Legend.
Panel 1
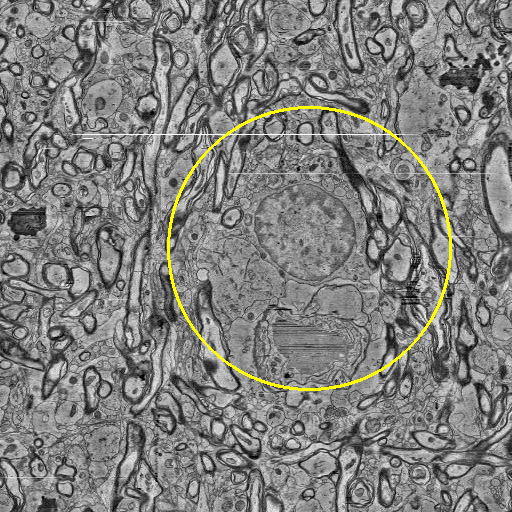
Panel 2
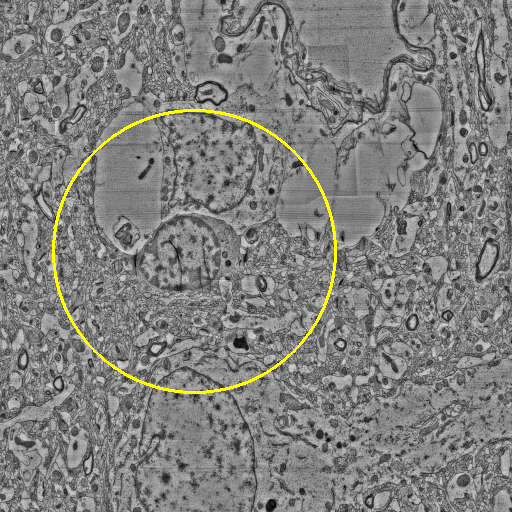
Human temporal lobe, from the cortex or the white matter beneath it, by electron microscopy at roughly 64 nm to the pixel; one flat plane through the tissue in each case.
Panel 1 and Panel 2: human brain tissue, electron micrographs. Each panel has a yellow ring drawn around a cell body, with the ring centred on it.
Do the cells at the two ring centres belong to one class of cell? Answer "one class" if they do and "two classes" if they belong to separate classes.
one class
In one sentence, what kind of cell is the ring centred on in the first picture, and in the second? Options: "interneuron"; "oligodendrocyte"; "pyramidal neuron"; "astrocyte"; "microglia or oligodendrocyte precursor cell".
The cell at the ring centre is an oligodendrocyte in both pictures.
